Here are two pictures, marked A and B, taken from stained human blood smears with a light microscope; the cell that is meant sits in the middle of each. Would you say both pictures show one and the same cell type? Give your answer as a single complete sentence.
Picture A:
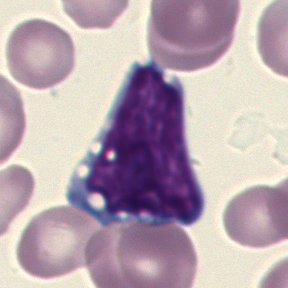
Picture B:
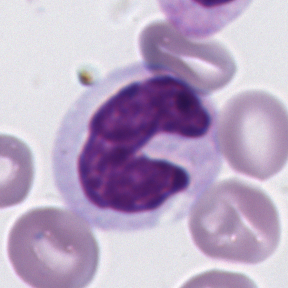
No; the cell in picture A is a myeloblast, while the one in picture B is a band neutrophil.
